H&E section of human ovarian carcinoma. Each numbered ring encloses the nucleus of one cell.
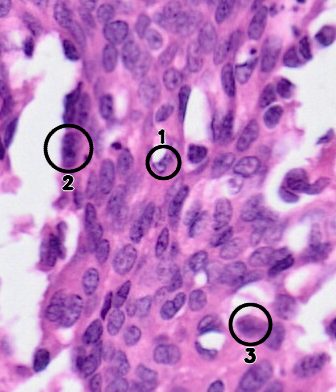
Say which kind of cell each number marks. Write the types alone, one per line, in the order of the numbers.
endothelial cell
carcinoma cell
carcinoma cell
